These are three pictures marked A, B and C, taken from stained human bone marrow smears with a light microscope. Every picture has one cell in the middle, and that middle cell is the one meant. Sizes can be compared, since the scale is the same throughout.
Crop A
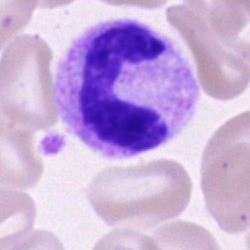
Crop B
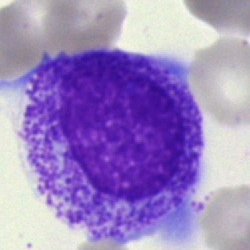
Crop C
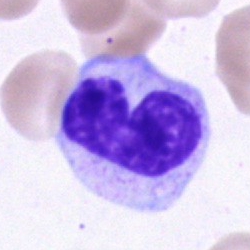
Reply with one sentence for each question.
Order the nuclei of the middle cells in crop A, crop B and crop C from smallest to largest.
Smallest first: A, C, B.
